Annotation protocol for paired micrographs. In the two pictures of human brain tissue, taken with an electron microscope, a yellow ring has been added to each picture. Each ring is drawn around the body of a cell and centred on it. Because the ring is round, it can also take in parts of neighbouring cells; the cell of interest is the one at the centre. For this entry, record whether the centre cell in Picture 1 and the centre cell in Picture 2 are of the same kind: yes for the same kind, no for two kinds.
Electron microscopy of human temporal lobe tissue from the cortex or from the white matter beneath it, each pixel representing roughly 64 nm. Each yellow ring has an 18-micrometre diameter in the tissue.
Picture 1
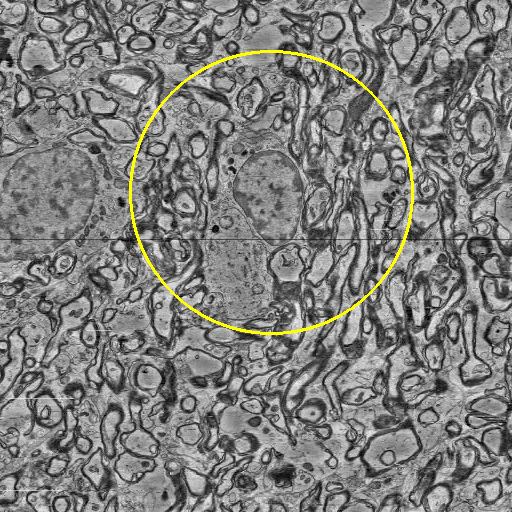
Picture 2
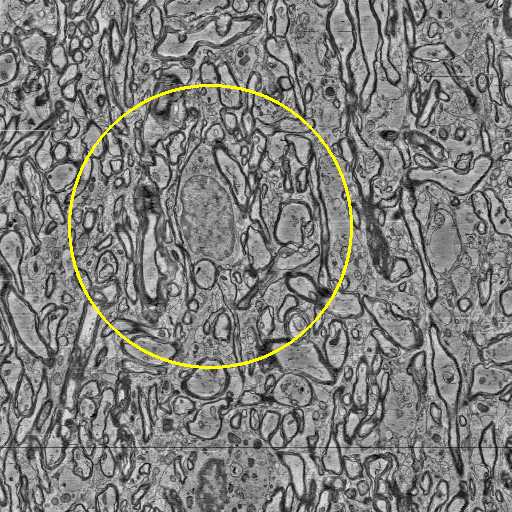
no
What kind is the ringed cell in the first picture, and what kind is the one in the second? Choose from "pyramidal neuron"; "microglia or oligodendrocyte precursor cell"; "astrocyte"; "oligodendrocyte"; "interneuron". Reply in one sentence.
The first cell is a microglial cell or oligodendrocyte precursor cell; the second is an oligodendrocyte.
